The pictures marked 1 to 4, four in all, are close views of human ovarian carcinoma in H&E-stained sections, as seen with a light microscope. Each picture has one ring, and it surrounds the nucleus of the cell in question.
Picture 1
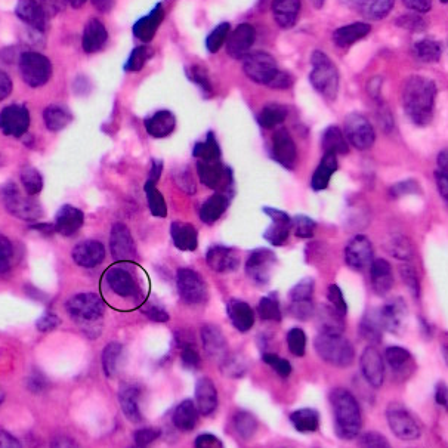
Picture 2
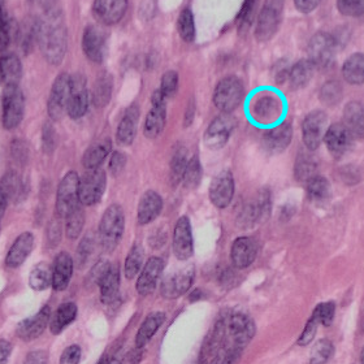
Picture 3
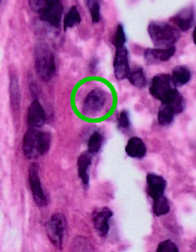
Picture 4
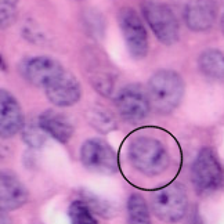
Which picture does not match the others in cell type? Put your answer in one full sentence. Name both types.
The others show carcinoma cells, but picture 3 shows a “macrophage or monocyte”.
